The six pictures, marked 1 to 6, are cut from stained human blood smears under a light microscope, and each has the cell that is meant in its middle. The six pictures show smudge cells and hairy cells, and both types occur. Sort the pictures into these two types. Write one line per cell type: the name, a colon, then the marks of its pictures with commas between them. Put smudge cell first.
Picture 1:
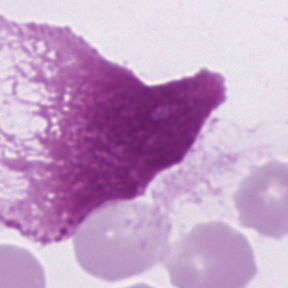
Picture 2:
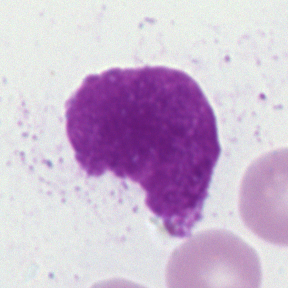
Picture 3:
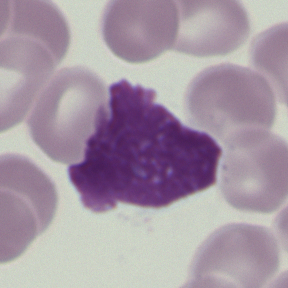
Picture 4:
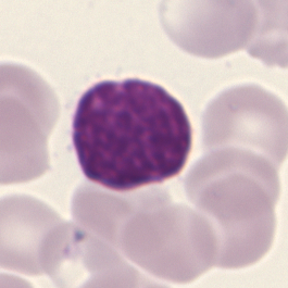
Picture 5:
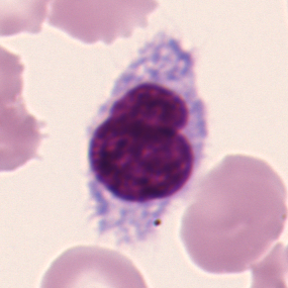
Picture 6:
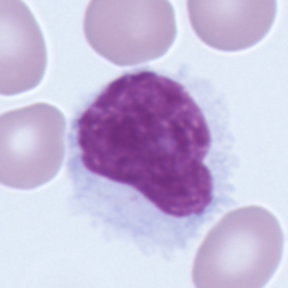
smudge cell: 1, 2, 3, 4
hairy cell: 5, 6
